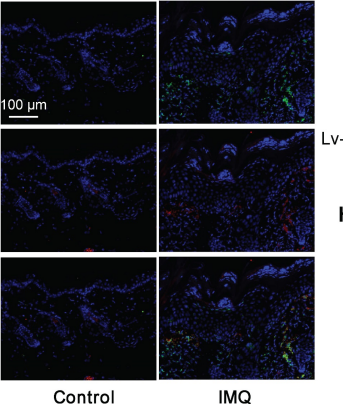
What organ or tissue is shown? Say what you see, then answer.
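Looser tissue with scattered nuclei lies beneath that surface layer. The answer: skin.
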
